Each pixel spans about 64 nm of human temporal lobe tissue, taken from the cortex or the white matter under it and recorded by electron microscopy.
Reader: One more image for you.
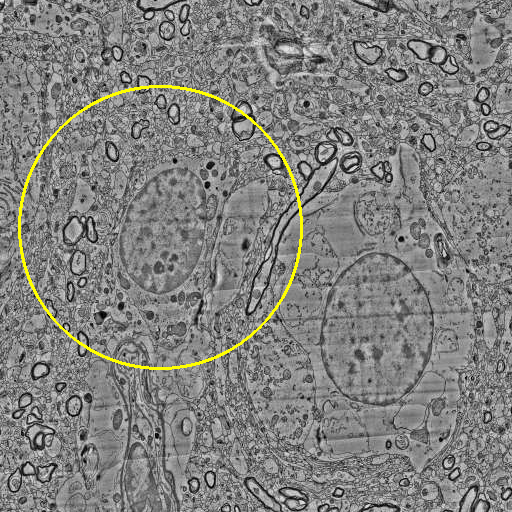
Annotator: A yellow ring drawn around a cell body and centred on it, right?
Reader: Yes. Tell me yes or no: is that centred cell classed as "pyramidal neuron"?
no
